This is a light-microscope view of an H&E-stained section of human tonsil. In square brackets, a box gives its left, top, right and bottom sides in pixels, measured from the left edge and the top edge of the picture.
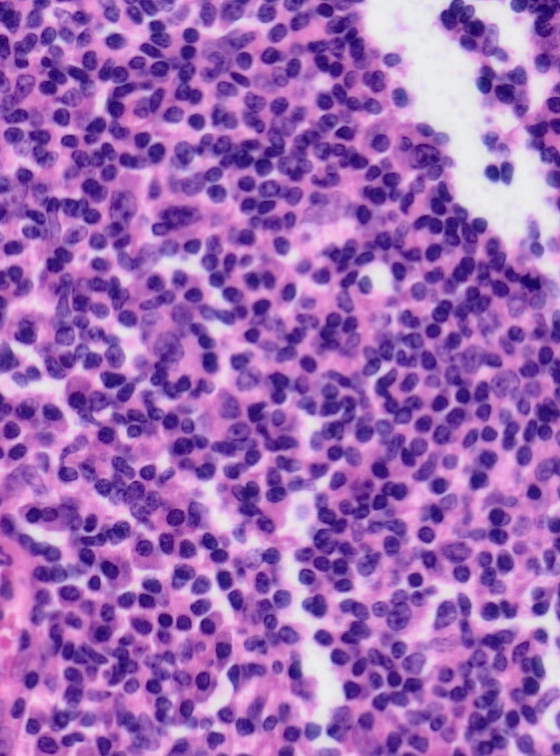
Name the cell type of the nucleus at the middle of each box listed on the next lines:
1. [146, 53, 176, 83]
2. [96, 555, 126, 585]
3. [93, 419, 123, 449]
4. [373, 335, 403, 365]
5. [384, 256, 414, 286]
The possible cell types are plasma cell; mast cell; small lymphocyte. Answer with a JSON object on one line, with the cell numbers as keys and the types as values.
{"1": "small lymphocyte", "2": "plasma cell", "3": "plasma cell", "4": "small lymphocyte", "5": "small lymphocyte"}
